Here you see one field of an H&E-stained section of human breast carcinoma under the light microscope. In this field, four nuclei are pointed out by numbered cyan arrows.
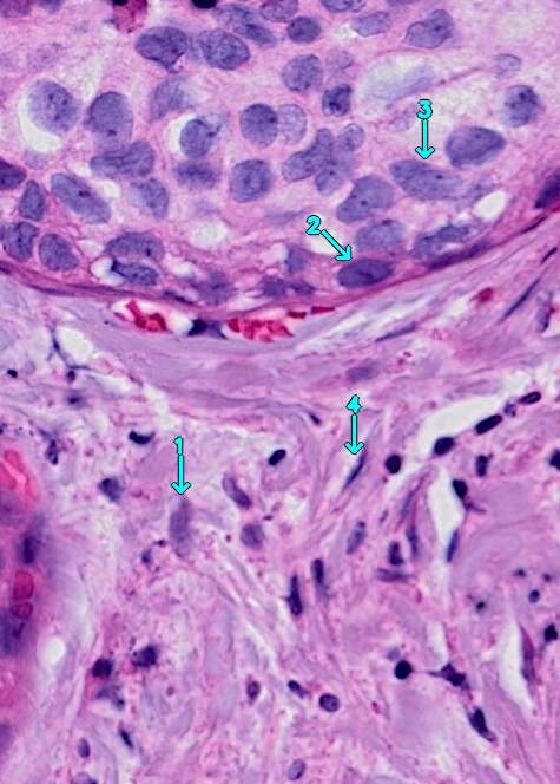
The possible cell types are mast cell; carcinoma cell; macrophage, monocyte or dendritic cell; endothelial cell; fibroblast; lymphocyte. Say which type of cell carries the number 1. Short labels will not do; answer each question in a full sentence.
Classified as a fibroblast is the cell with the number 1.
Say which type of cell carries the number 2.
Cell 2, among those numbered, is a carcinoma cell.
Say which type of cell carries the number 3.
The correct label for cell 3 is a carcinoma cell.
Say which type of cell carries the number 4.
Cell 4 in the field is a fibroblast.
